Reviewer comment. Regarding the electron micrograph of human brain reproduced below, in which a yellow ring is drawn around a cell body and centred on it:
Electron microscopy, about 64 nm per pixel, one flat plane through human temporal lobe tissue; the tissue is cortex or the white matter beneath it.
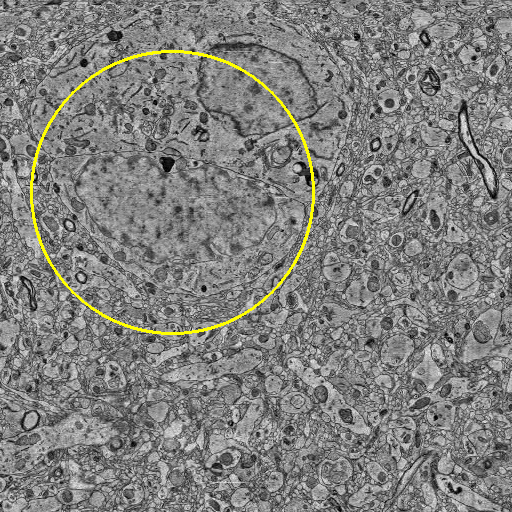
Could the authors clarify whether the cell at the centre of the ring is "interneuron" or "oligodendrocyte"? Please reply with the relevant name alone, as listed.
interneuron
